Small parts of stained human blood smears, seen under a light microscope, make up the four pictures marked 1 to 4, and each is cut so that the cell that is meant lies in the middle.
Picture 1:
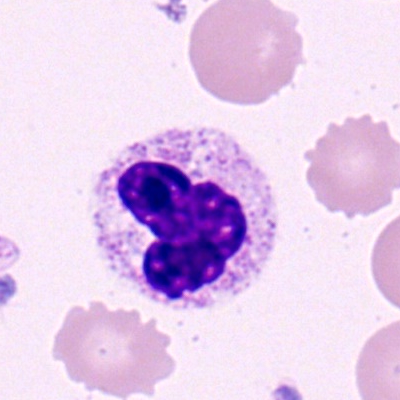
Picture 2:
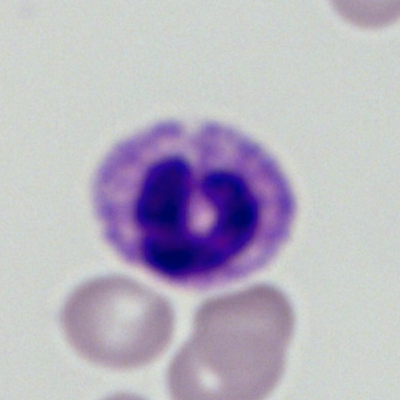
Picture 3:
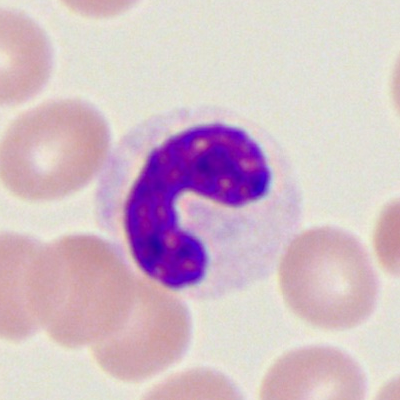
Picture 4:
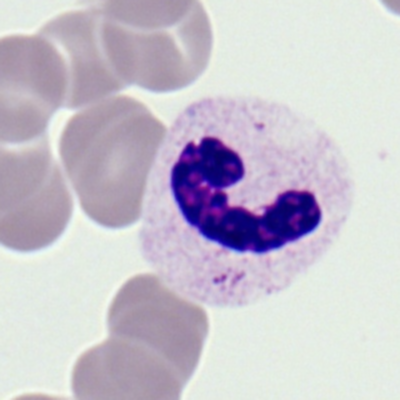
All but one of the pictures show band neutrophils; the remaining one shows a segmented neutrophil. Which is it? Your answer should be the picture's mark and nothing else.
1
